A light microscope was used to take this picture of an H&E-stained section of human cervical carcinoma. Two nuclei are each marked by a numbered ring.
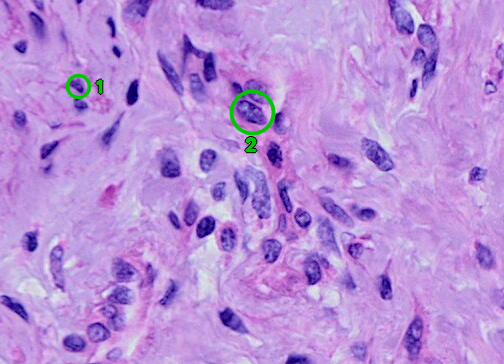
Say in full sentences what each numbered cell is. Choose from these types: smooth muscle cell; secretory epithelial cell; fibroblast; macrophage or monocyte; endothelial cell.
Cell 1 is a smooth muscle cell. Cell 2 is an endothelial cell.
